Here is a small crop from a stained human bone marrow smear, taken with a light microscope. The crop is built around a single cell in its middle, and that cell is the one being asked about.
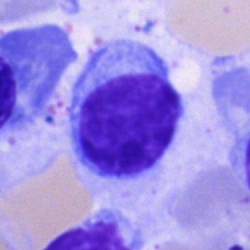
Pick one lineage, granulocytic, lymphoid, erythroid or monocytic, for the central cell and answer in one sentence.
The correct lineage for the cell at the center is the lymphoid one.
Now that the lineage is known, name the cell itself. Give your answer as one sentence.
The cell of interest, located centrally, is a lymphocyte.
